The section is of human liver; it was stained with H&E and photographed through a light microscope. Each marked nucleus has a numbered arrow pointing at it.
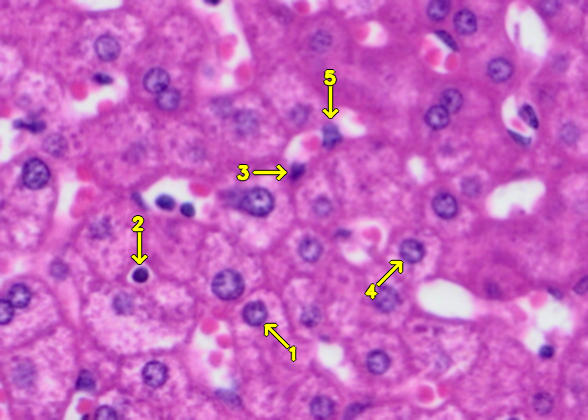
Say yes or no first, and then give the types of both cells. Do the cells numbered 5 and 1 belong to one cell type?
No, unlike cell 5, which is an endothelial cell, cell 1 is a hepatocyte.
